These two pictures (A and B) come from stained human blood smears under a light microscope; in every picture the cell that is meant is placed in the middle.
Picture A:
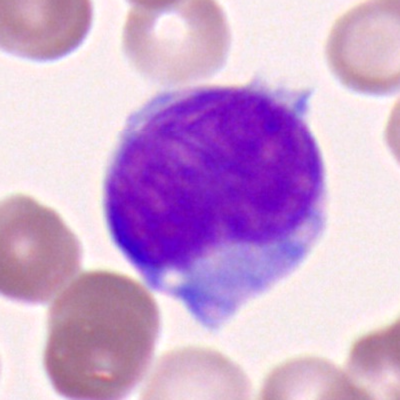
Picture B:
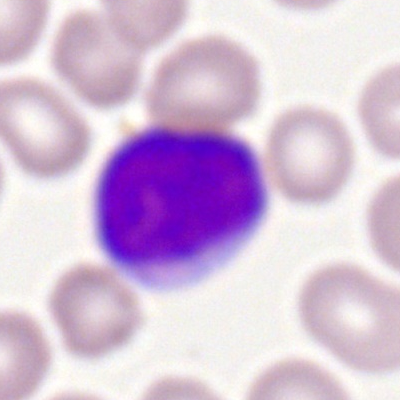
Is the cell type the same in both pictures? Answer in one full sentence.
Yes, the two pictures both show myeloblasts.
